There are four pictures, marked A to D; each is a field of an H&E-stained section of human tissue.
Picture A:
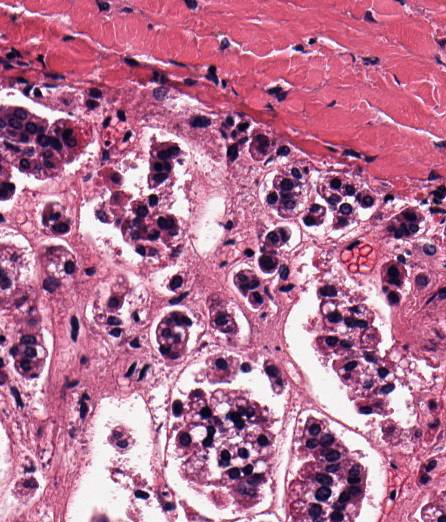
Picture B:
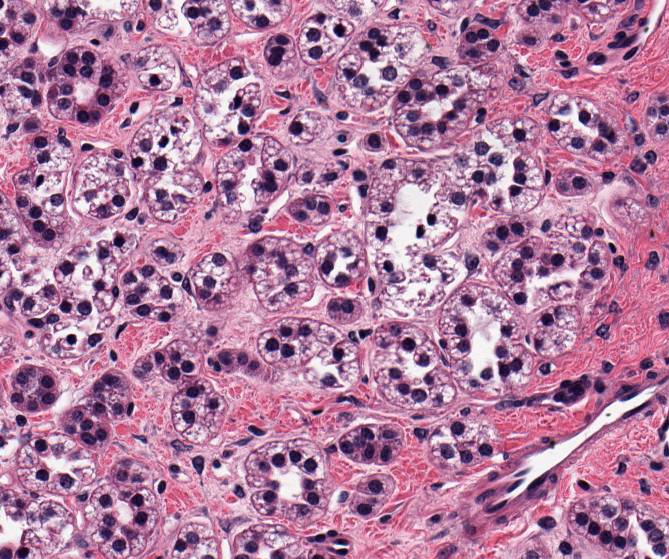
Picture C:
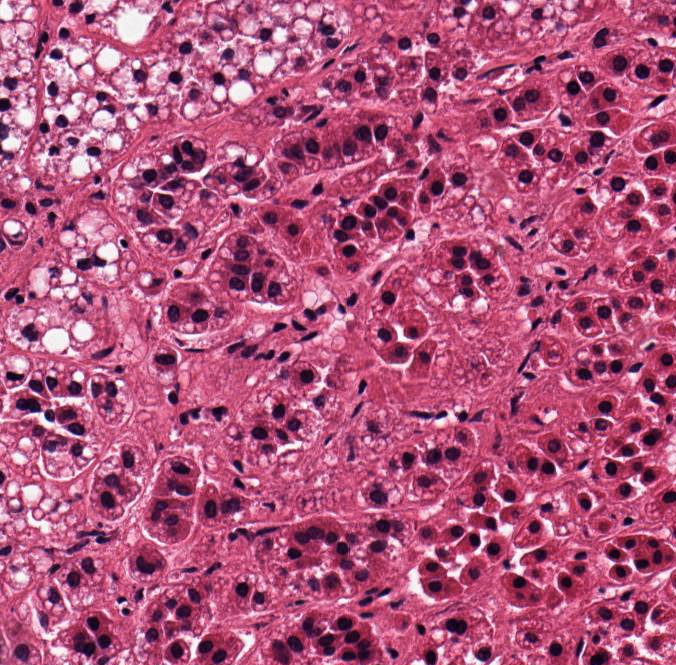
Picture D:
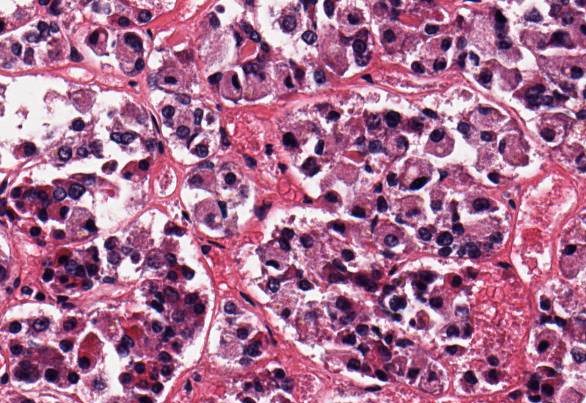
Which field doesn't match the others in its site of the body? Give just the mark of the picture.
D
